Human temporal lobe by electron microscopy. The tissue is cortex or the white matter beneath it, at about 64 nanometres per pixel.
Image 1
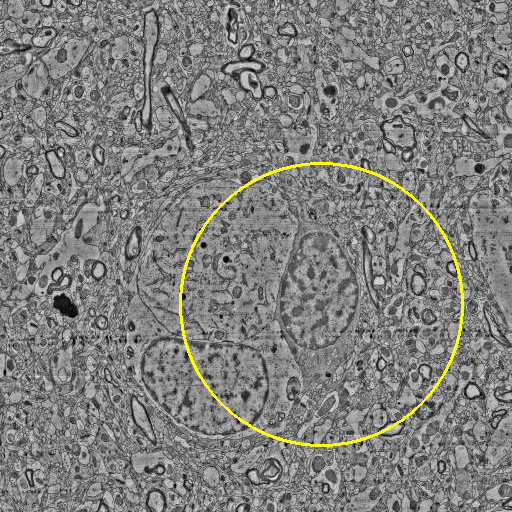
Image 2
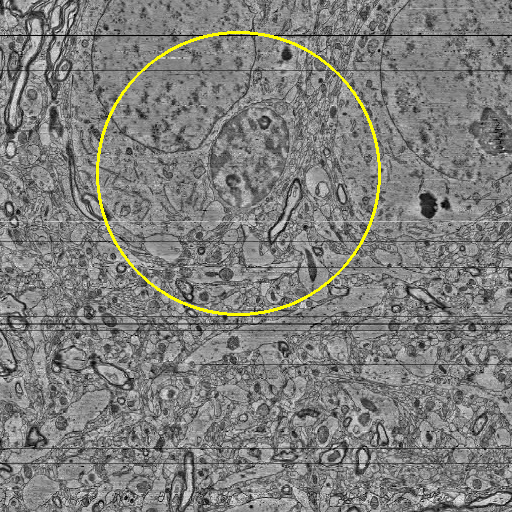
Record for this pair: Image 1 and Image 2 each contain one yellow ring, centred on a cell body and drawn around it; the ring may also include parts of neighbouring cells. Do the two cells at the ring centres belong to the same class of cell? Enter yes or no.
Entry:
yes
